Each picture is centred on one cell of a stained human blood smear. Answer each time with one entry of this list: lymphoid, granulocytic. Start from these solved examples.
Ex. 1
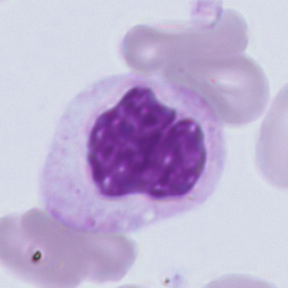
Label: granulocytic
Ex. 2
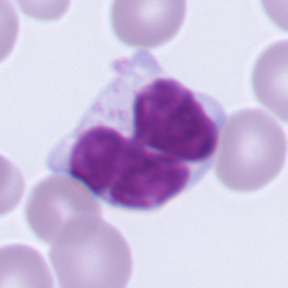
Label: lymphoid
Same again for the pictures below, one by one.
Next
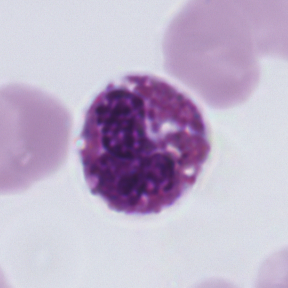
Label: granulocytic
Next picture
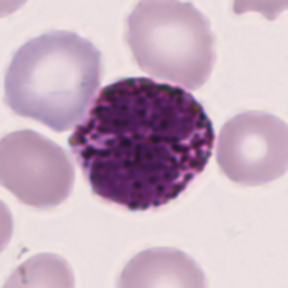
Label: granulocytic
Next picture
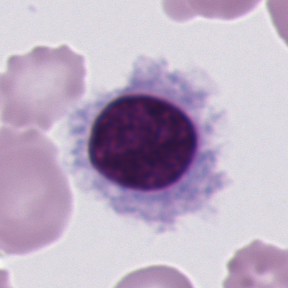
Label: lymphoid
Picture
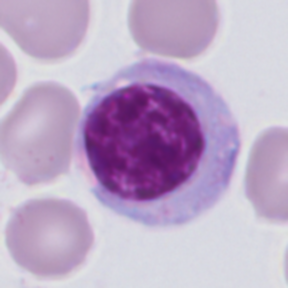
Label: lymphoid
